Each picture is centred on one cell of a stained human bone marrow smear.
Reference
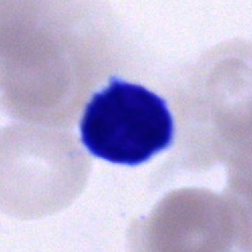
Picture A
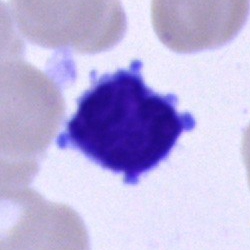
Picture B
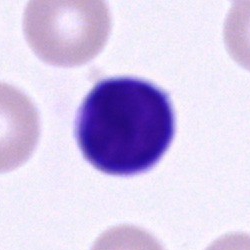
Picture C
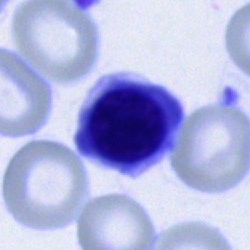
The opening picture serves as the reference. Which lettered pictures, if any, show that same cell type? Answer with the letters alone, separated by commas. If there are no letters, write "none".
A, B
